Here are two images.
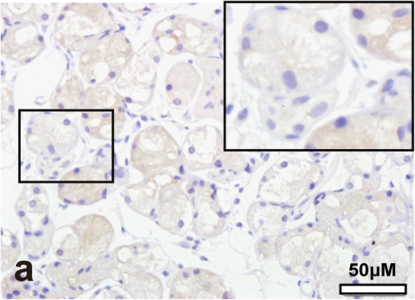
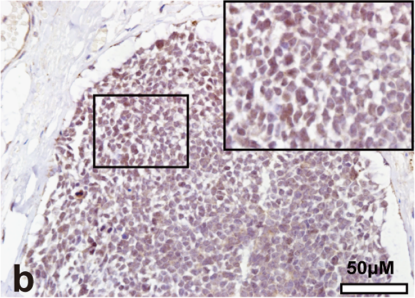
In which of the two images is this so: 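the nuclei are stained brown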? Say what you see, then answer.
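The second image. Second image: densely packed nuclei are brown. First image: nuclei are blue, only the cytoplasm is faintly brown.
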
